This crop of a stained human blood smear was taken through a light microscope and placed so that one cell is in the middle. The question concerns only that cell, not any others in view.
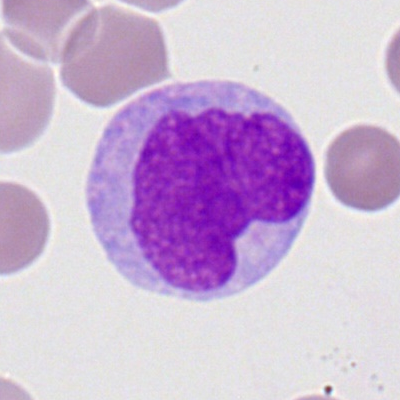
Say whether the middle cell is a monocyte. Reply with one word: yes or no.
yes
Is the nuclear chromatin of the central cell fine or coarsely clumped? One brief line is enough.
The chromatin is fine; coarse clumps are not a feature here.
